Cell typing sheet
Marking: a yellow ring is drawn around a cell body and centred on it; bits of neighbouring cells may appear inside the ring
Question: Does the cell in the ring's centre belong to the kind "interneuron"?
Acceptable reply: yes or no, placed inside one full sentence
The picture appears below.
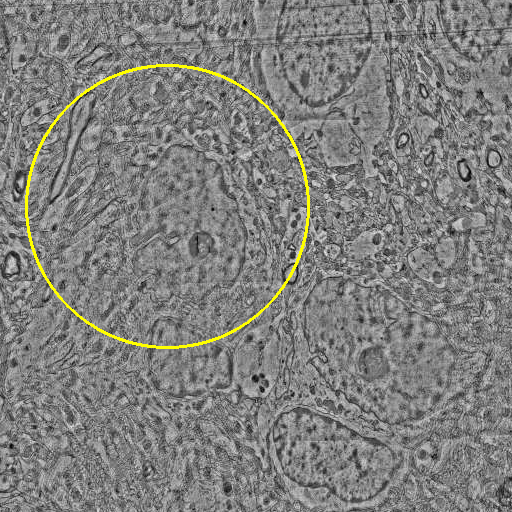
Yes, the cell in the centre of the ring is of the kind asked about.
